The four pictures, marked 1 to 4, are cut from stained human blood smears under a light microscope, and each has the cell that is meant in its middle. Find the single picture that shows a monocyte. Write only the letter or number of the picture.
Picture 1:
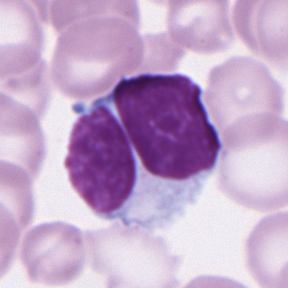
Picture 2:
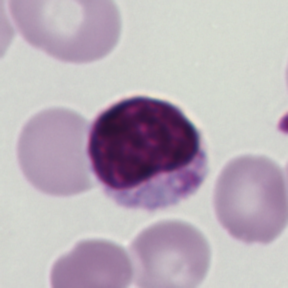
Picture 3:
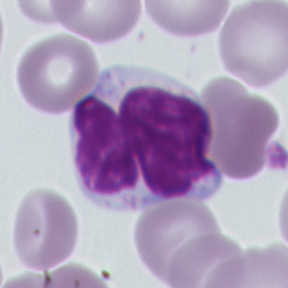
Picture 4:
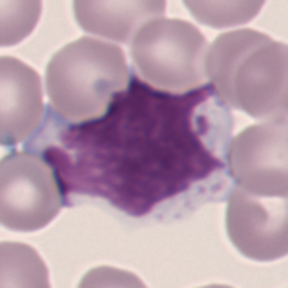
1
